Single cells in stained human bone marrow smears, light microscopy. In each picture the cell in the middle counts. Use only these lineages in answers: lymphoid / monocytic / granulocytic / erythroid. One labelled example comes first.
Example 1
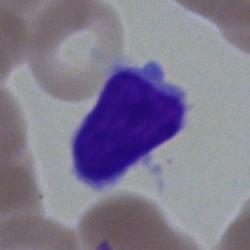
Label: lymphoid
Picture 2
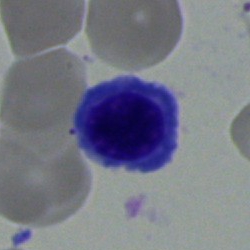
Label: erythroid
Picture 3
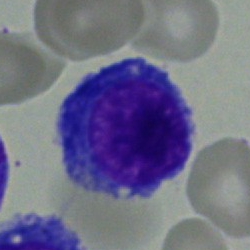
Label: erythroid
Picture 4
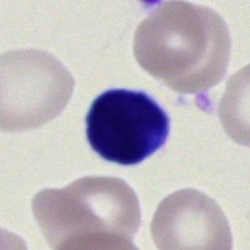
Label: lymphoid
